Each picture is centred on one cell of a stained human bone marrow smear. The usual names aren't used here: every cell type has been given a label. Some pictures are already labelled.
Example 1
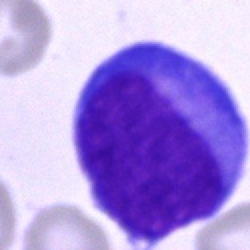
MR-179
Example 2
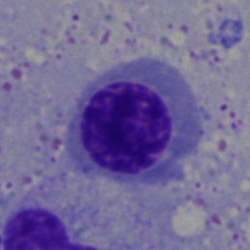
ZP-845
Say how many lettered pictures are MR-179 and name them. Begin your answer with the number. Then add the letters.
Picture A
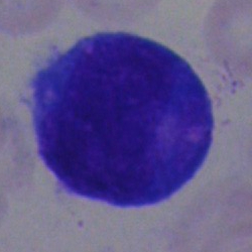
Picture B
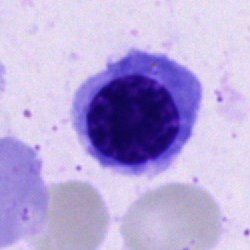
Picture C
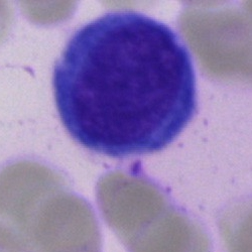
Count: 2 (A, C)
